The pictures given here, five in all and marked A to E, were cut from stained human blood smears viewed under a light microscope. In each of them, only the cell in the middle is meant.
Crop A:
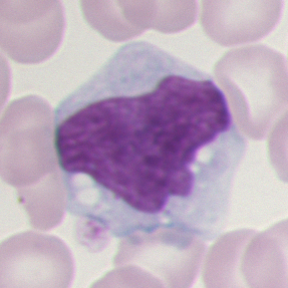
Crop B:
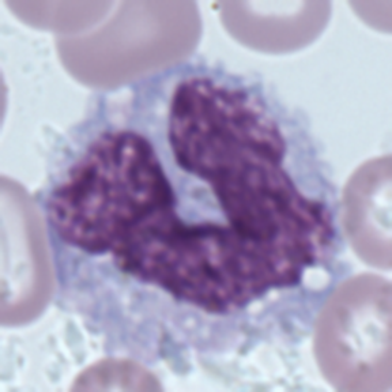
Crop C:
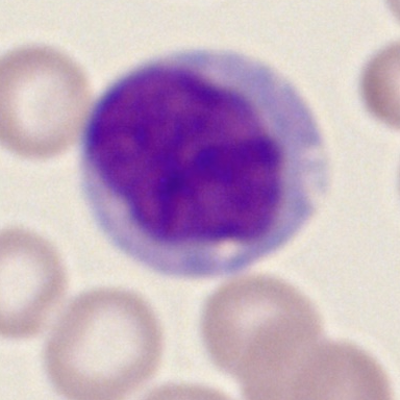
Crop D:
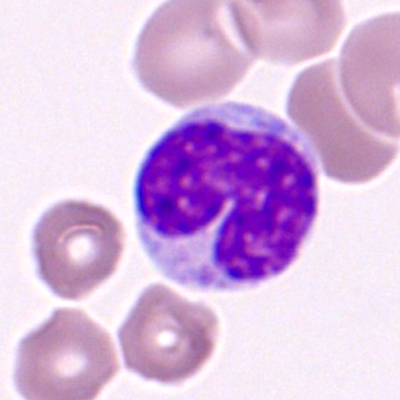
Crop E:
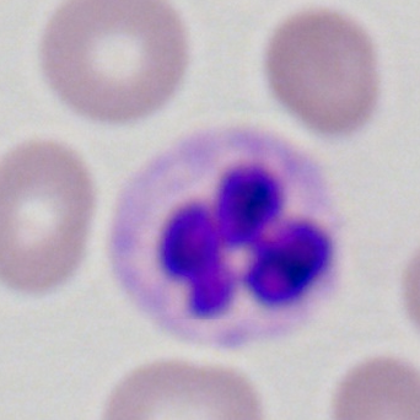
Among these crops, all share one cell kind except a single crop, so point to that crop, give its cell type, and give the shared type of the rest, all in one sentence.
Crop E alone shows a segmented neutrophil; the other crops are all monocytes.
